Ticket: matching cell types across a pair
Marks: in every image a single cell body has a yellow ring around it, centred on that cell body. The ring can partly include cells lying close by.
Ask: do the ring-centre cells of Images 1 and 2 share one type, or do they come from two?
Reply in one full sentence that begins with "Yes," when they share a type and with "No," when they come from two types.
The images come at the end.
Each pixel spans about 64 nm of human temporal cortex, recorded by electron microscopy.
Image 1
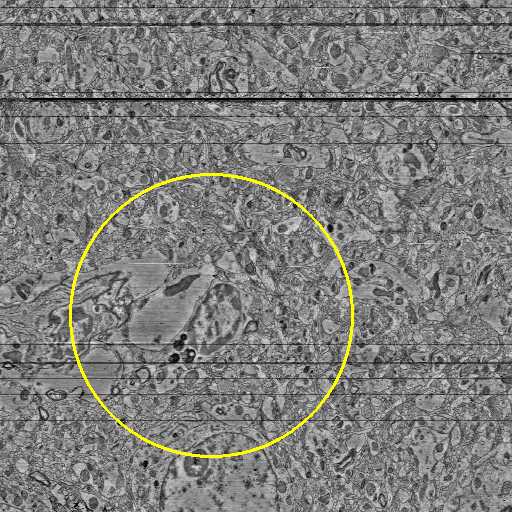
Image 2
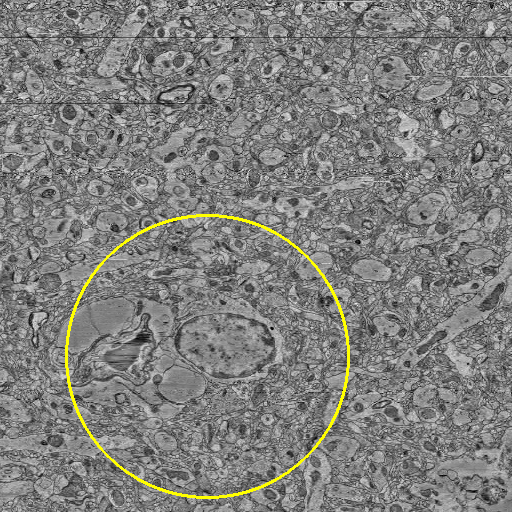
Yes, the cells in the centres of the rings in Image 1 and Image 2 share one type.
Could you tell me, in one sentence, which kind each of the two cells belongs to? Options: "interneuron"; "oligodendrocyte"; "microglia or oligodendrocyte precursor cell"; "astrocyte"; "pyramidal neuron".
In both pictures the ring is centred on a microglial cell or oligodendrocyte precursor cell.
